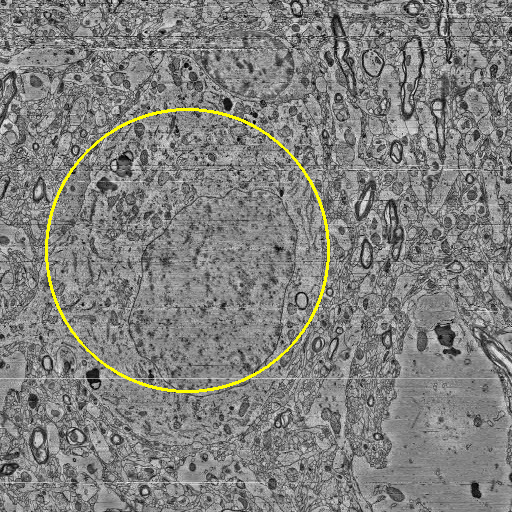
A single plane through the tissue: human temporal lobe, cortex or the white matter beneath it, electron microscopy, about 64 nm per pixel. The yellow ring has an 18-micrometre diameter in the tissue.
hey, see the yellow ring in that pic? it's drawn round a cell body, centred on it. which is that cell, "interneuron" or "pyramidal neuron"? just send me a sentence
The cell in the ring is a pyramidal neuron.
